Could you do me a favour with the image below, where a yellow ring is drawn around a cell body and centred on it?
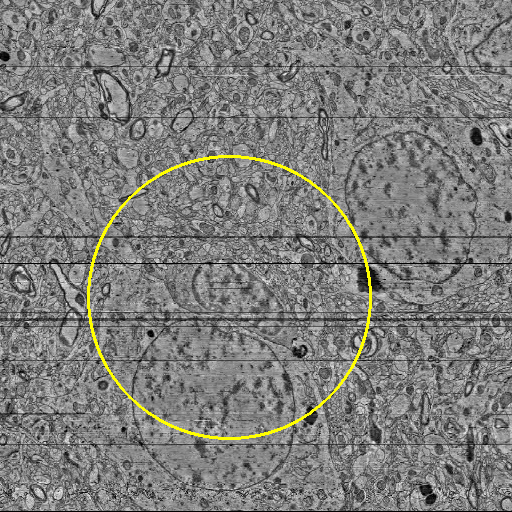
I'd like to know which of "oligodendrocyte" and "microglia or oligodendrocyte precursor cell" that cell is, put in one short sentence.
The cell at the ring's centre is an oligodendrocyte.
